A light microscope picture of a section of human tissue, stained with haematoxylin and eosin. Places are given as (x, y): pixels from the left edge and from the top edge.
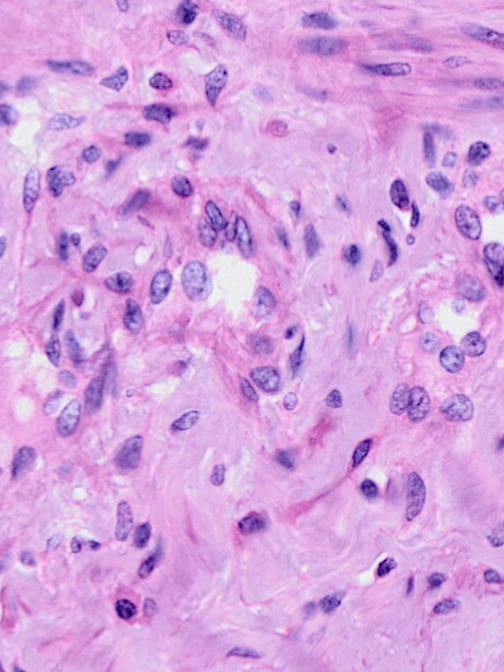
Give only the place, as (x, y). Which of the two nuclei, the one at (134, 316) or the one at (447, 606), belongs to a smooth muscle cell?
(447, 606)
